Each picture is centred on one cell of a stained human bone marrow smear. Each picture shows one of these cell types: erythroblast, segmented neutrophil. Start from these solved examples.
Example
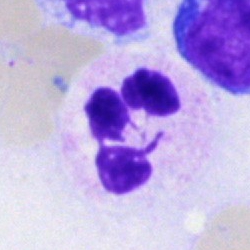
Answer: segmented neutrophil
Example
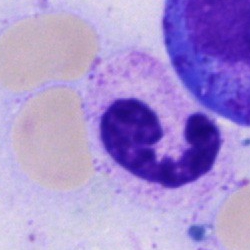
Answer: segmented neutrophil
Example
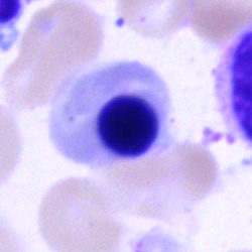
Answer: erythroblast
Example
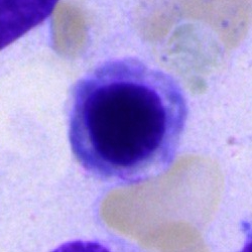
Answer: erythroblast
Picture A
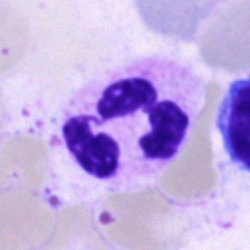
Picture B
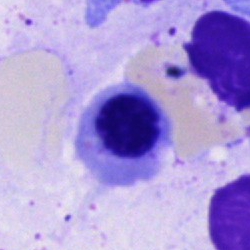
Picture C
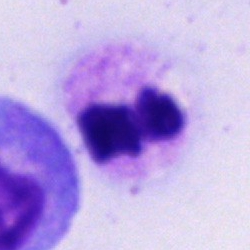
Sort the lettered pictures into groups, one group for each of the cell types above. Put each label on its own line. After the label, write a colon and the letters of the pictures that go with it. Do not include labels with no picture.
erythroblast: B
segmented neutrophil: A, C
